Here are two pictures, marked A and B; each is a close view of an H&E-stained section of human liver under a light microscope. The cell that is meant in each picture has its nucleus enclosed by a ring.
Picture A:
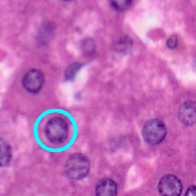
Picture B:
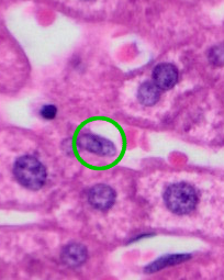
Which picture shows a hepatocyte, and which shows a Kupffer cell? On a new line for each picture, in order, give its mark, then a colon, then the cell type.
A: hepatocyte
B: Kupffer cell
